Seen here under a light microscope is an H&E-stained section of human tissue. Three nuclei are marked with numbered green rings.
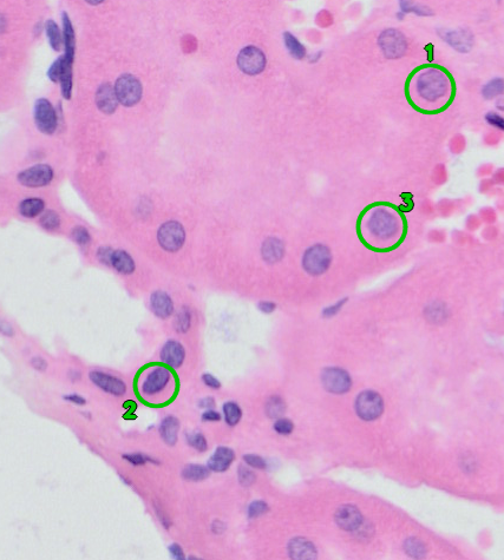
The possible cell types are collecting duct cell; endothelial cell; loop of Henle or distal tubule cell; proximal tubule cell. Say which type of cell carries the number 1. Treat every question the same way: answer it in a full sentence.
As for number 1, that cell is a proximal tubule cell.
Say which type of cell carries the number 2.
Corresponding to a collecting duct cell is the cell labelled 2.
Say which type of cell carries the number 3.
Number 3 is placed on a proximal tubule cell here.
